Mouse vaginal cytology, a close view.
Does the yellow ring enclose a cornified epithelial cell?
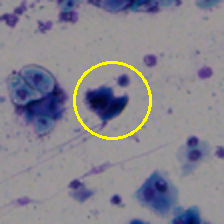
Yes. The ring encloses a cornified epithelial cell.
